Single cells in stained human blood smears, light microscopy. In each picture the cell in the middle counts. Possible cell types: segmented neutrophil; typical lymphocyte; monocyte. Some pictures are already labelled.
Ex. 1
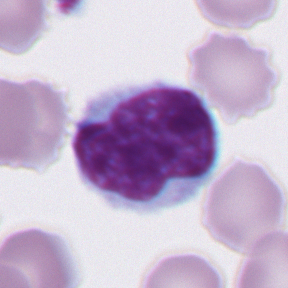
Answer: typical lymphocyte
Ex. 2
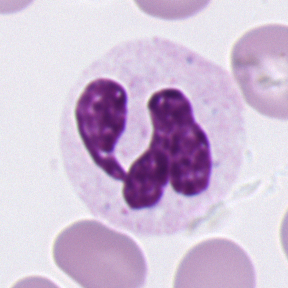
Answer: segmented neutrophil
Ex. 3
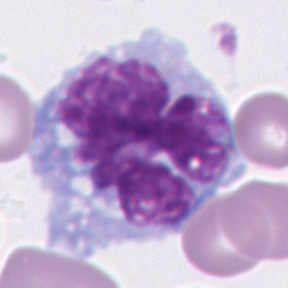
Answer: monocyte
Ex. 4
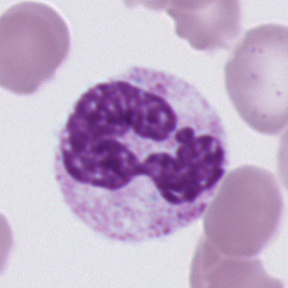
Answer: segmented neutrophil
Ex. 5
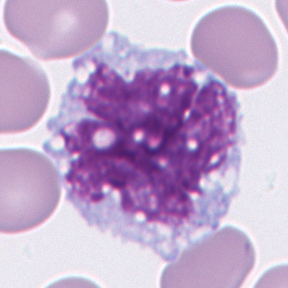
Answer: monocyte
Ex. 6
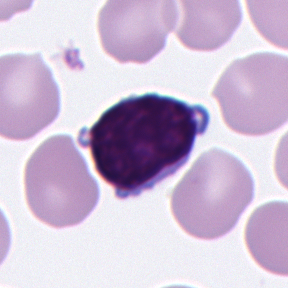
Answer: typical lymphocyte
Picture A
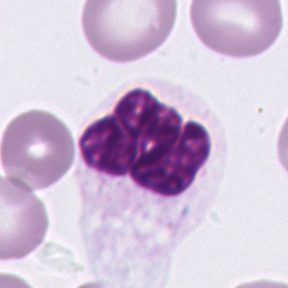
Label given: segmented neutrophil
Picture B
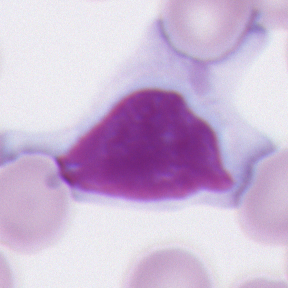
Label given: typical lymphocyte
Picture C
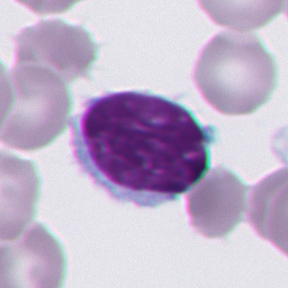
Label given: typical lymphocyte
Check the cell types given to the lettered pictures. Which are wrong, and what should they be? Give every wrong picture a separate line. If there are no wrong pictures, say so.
No label is wrong.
